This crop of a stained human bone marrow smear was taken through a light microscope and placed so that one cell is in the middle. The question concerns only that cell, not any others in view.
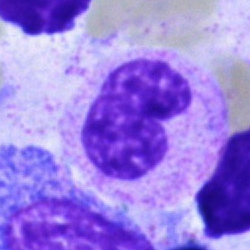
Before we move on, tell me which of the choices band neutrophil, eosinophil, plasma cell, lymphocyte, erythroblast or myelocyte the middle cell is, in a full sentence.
By classification, the middle cell of this crop is a band neutrophil.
